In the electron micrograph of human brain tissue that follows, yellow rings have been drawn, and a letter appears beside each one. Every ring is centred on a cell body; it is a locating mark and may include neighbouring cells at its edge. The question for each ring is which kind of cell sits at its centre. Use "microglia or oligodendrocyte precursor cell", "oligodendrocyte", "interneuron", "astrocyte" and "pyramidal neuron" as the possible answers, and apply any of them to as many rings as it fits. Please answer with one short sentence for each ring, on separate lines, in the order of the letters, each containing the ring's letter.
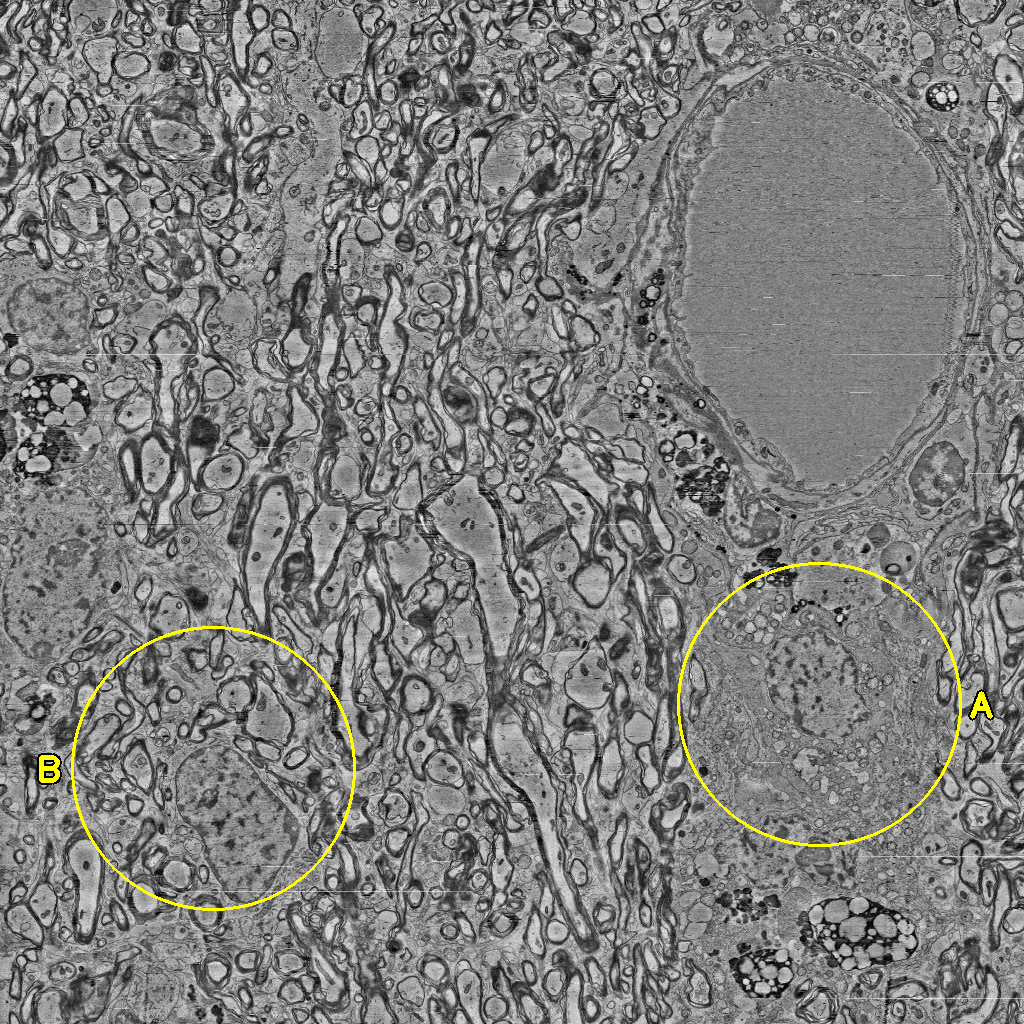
Sitting at the centre of ring A is an astrocyte.
Sitting at the centre of ring B is a microglial cell or oligodendrocyte precursor cell.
